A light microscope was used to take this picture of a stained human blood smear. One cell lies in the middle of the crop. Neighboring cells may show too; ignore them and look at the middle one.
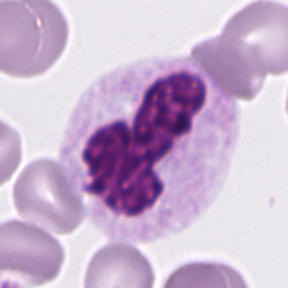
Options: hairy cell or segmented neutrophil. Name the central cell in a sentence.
On this slide crop, the central cell is a segmented neutrophil.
